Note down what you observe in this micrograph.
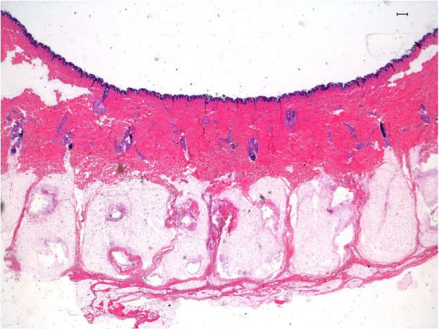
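A full-thickness section of skin at low magnification. Along the top runs a thin, dark purple epidermis. Beneath it lies a thick, densely packed dermis stained bright pink, in which a few small purple profiles are scattered, many of them elongated. Below the dermis the subcutaneous fat is divided into large pale lobules by thin pink partitions. Some of these lobules contain irregular pinker strands and folded profiles. At this magnification single cells cannot be made out, so the picture shows the layering of epidermis, dermis and fat rather than the detail of any cell.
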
